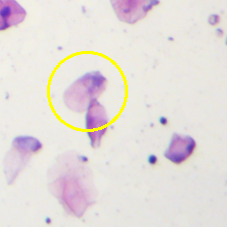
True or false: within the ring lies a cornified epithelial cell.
True: a cornified epithelial cell lies within the ring.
